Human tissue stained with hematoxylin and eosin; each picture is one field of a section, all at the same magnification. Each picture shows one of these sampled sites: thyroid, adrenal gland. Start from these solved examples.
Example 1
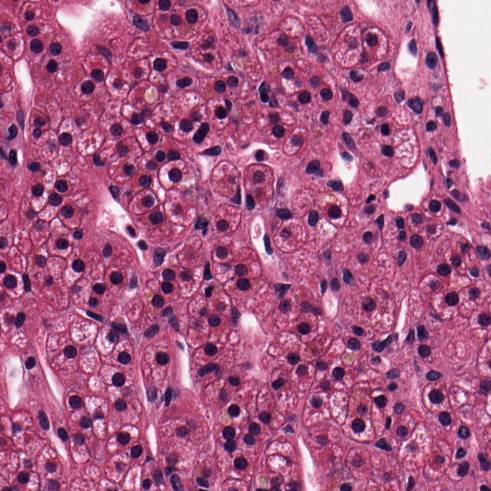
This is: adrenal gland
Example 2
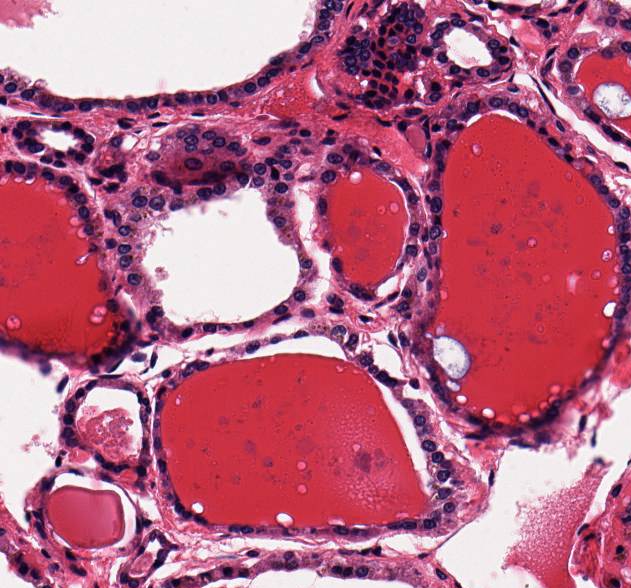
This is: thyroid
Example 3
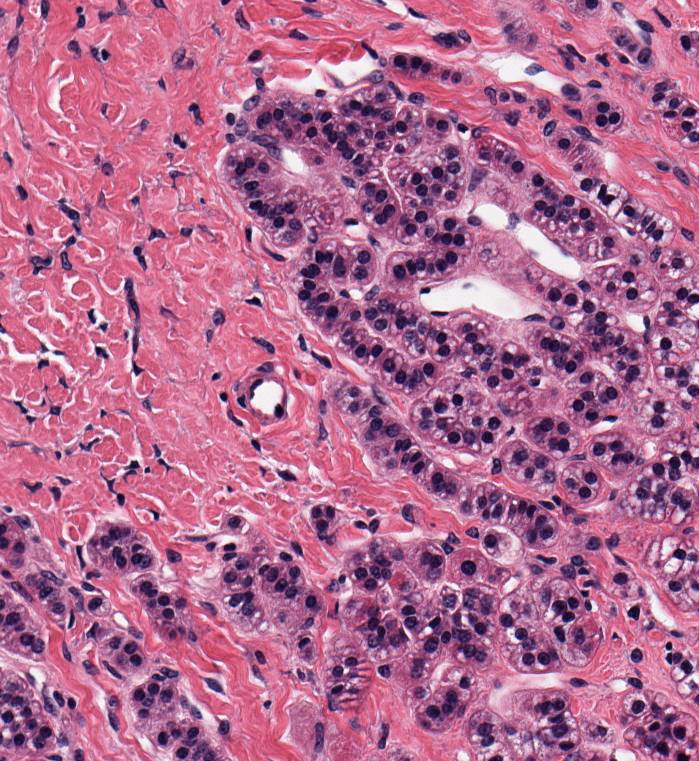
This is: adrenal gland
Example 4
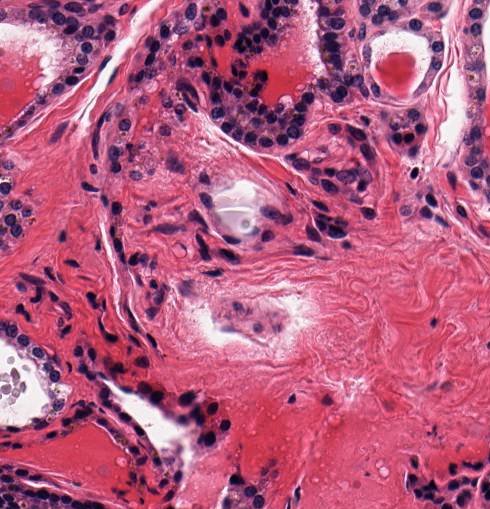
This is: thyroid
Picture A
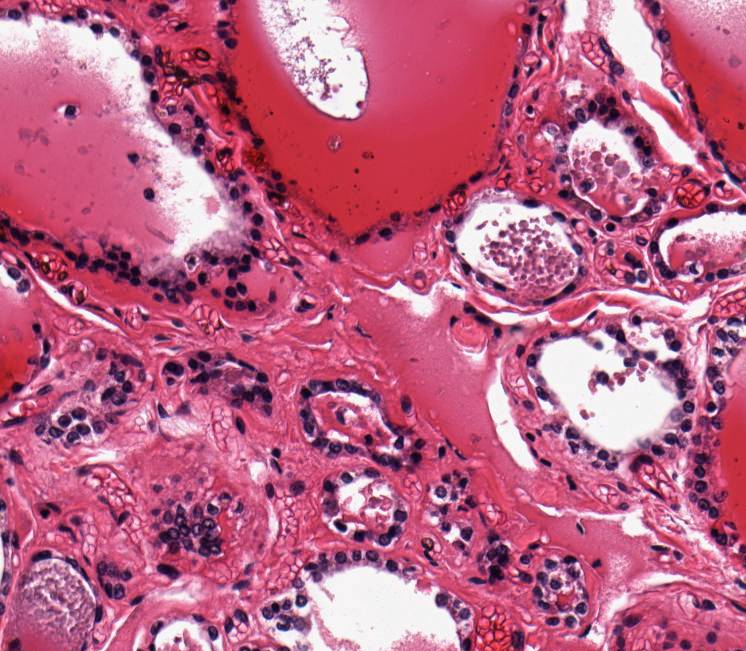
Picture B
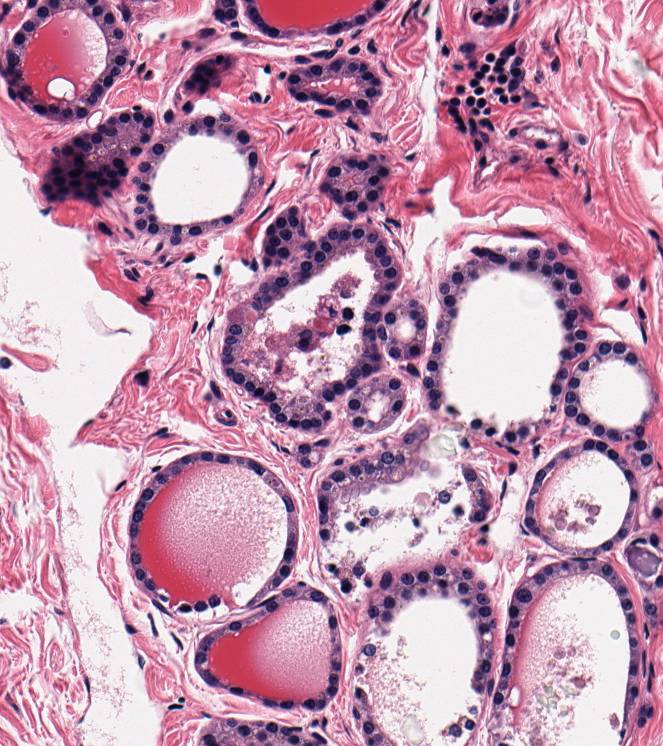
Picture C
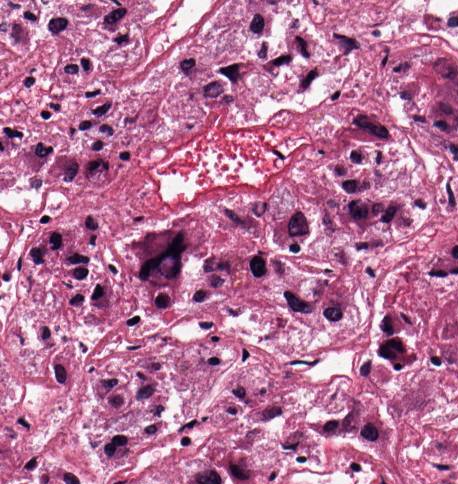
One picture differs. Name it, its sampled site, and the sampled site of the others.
C (adrenal gland) is the exception; every other picture is thyroid.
